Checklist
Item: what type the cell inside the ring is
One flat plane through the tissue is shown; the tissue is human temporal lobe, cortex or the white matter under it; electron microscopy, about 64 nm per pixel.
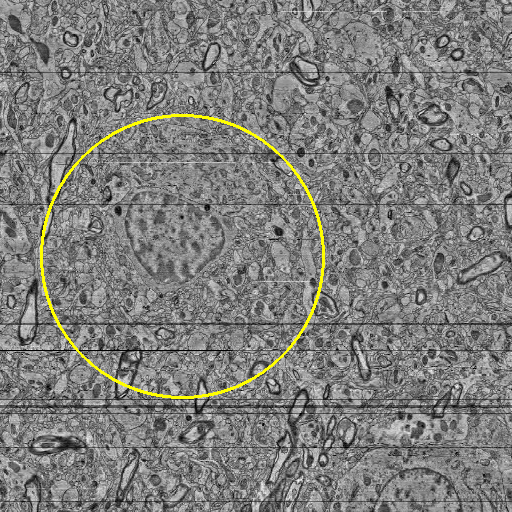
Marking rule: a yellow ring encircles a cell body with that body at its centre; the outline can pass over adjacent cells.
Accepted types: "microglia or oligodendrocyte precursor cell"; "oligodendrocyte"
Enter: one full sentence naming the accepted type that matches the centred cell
The entry is that an oligodendrocyte lies at the centre of the yellow ring.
